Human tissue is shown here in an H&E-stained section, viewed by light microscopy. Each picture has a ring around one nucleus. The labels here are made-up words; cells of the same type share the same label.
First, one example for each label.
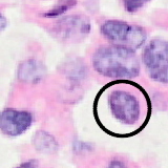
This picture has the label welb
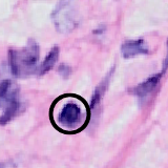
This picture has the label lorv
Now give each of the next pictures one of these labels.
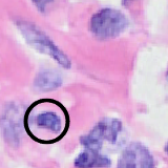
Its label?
lorv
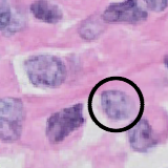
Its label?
welb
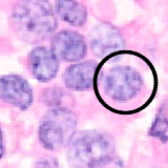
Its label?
welb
